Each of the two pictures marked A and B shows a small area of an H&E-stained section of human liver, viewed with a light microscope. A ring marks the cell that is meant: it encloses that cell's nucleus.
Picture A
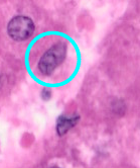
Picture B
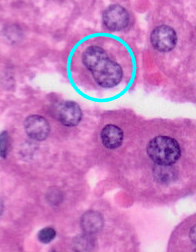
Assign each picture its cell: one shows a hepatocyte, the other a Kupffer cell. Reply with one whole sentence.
The cell in picture A is a Kupffer cell, and the one in picture B is a hepatocyte.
